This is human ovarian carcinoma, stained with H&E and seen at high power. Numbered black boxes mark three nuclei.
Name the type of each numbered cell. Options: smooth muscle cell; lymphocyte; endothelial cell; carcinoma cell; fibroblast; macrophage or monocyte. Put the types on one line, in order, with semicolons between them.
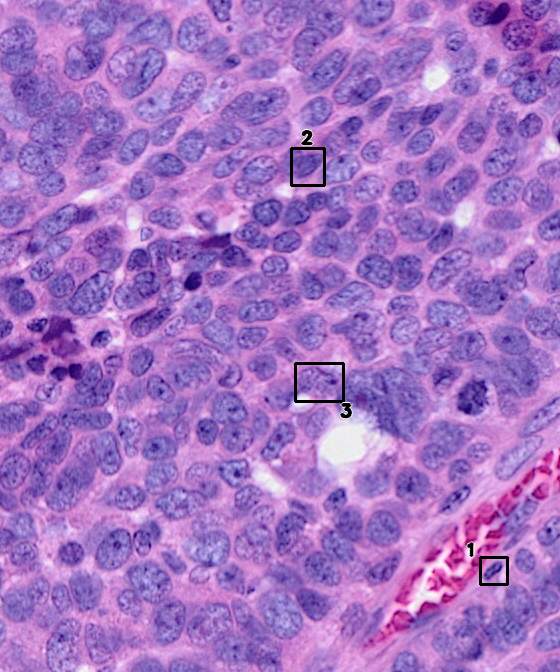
lymphocyte; carcinoma cell; carcinoma cell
